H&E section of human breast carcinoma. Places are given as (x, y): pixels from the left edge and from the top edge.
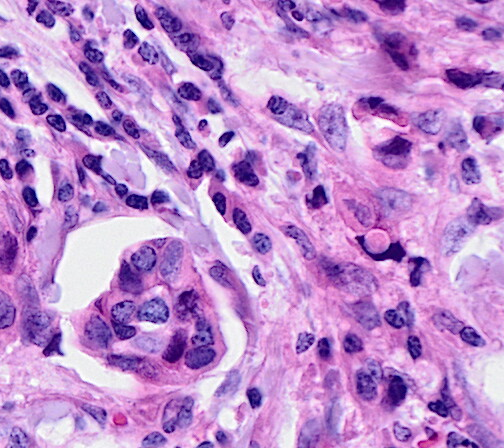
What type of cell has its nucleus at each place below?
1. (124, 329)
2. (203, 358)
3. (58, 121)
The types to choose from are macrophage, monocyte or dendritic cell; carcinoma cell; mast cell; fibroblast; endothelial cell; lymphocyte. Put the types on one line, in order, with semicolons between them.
carcinoma cell; carcinoma cell; lymphocyte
